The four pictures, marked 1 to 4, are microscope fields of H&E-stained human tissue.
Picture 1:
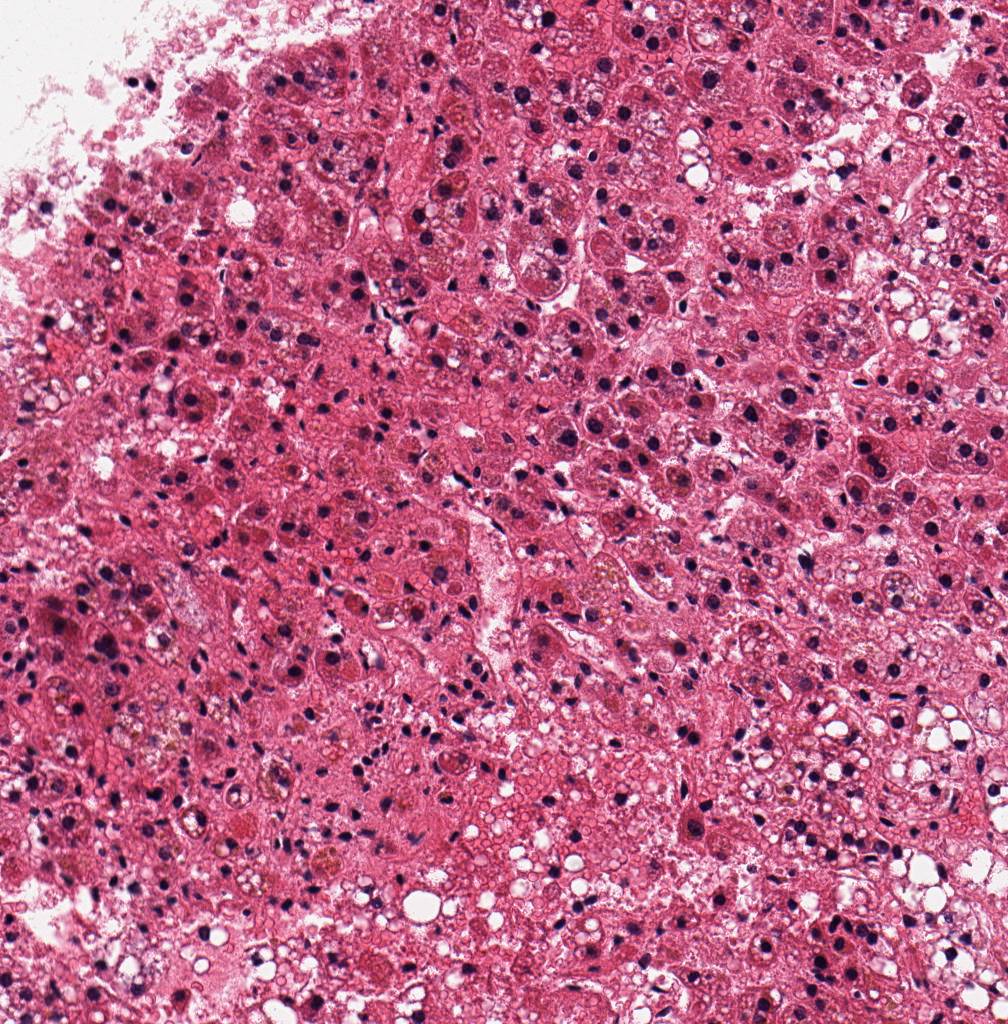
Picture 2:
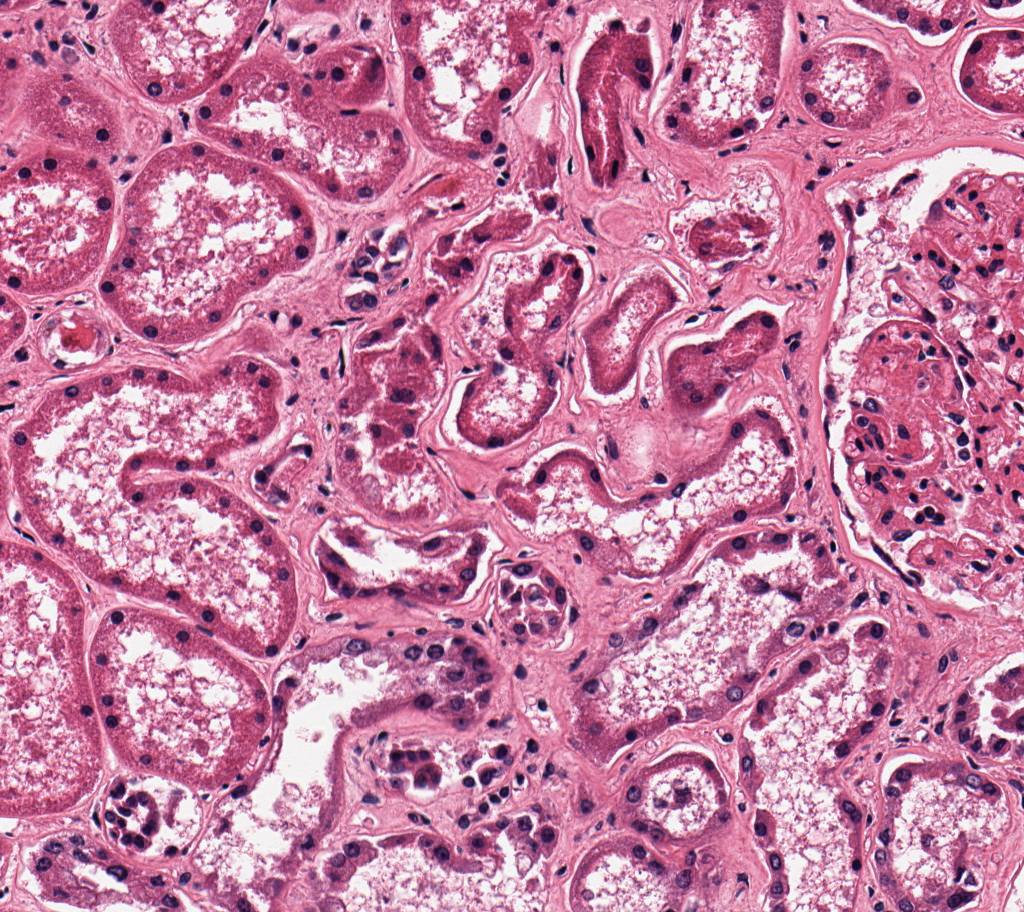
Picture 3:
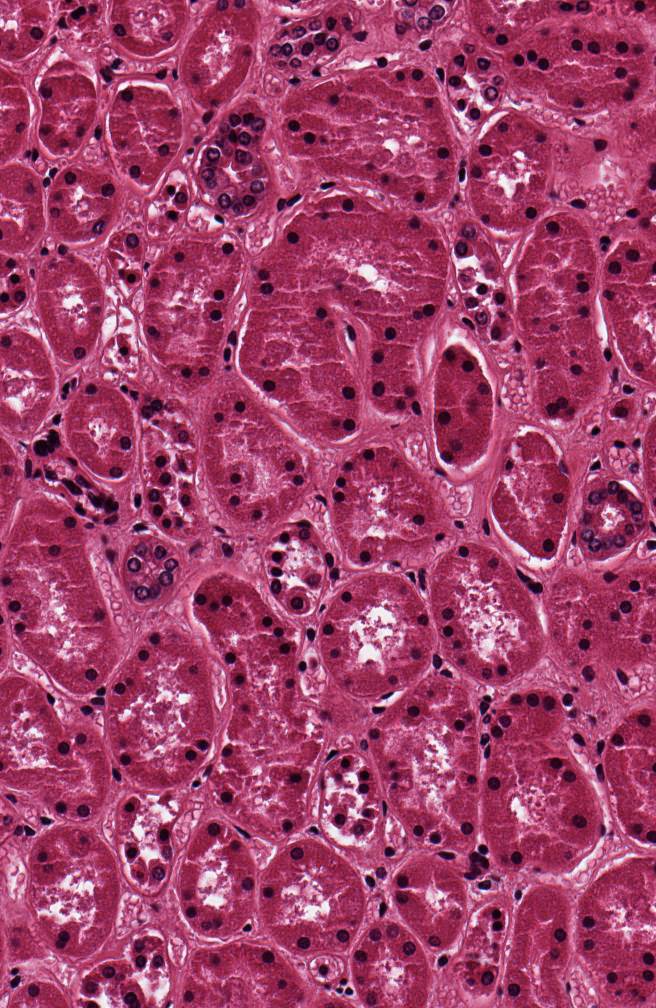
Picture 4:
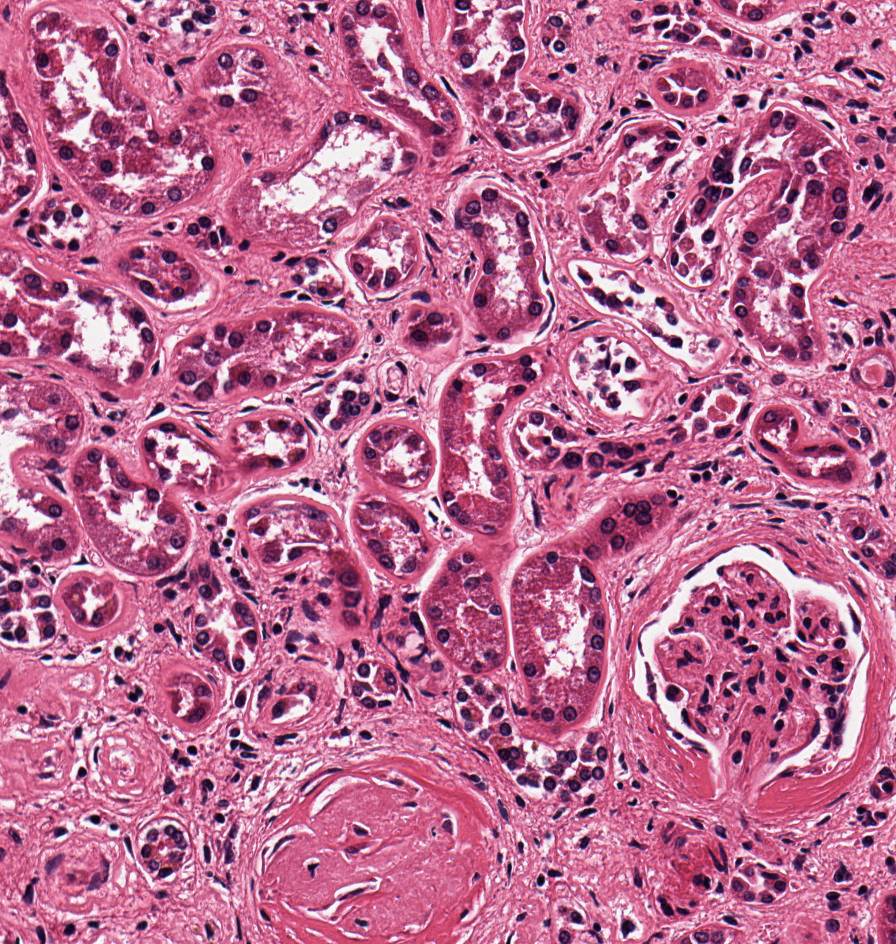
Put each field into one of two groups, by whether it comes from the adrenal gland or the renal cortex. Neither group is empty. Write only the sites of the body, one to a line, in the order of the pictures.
adrenal gland
renal cortex
renal cortex
renal cortex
